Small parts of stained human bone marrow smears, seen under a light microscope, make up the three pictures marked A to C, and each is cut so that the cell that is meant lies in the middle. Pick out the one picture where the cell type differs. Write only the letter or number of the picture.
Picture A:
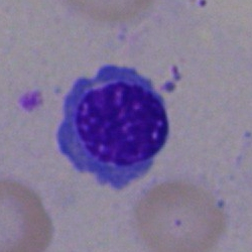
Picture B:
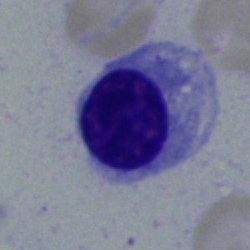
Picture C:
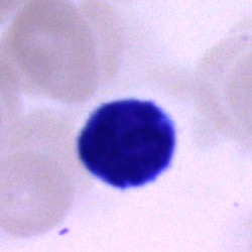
C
